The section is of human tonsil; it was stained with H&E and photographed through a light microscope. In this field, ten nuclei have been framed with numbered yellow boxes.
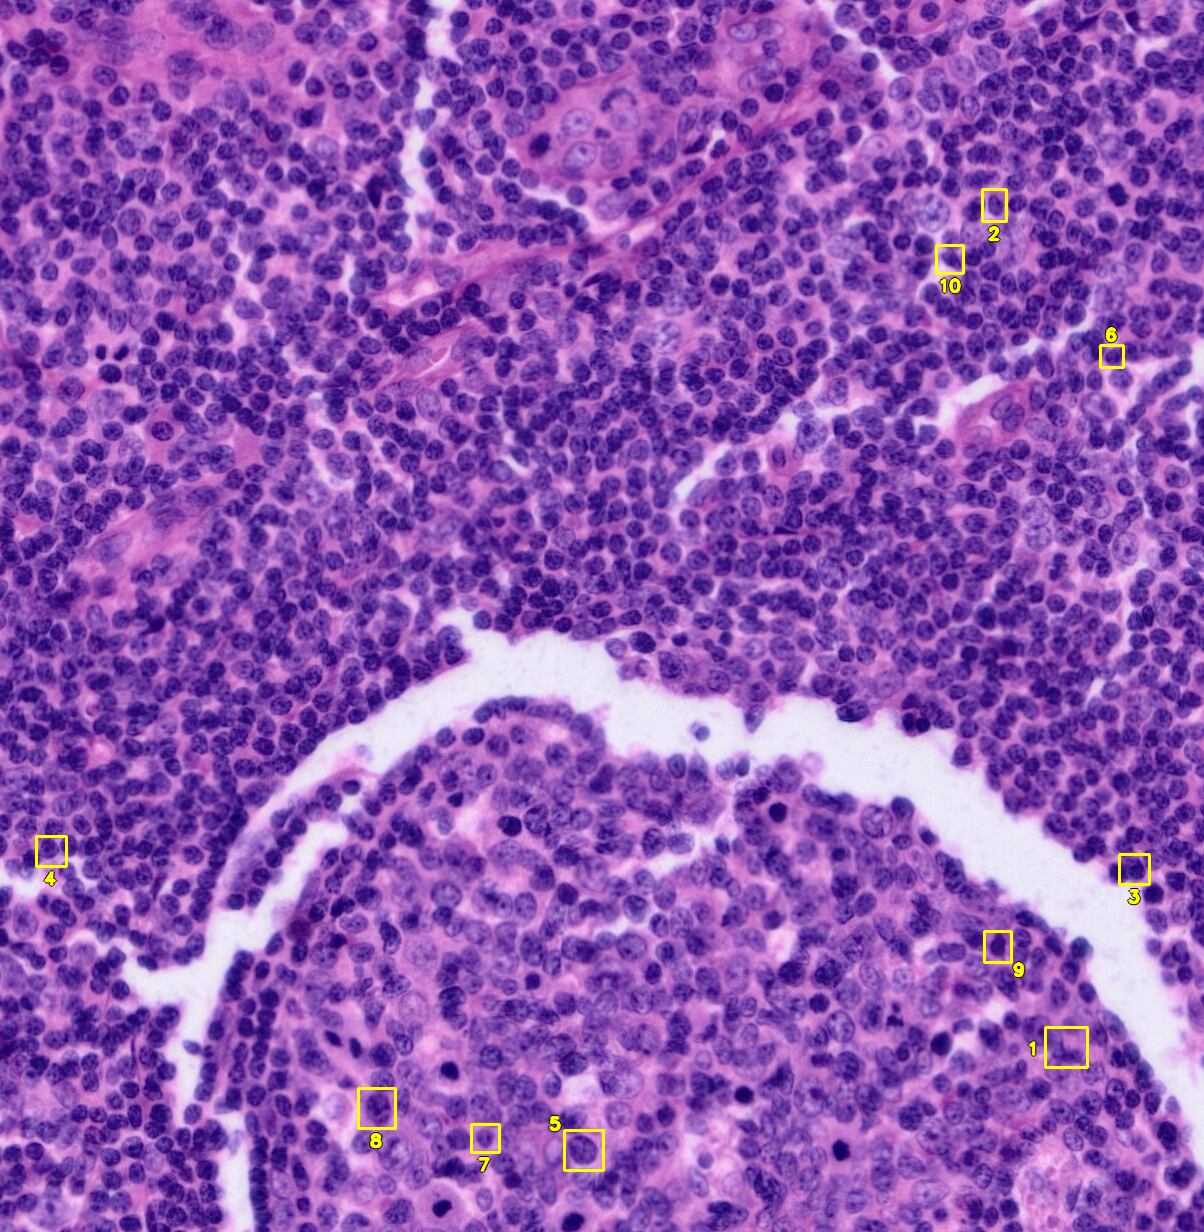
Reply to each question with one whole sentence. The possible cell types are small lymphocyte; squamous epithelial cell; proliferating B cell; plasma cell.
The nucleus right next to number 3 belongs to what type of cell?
The cell nearest to number 3 is a small lymphocyte.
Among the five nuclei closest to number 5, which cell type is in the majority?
The majority of the five nuclei closest to number 5 belong to proliferating B cells.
